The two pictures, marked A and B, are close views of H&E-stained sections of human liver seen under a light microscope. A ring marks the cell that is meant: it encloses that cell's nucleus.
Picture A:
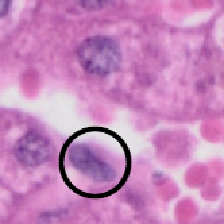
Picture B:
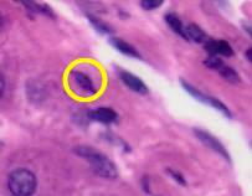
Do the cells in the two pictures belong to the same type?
no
